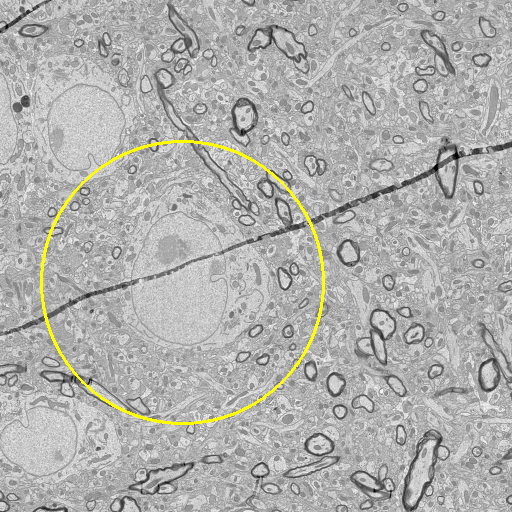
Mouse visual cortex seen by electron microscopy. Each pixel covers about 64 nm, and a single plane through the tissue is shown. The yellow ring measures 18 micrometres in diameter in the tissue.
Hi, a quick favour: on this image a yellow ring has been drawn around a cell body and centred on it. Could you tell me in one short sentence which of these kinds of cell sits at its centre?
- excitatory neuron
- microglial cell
The ring is centred on an excitatory neuron.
